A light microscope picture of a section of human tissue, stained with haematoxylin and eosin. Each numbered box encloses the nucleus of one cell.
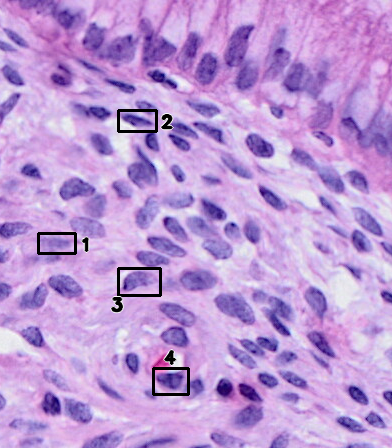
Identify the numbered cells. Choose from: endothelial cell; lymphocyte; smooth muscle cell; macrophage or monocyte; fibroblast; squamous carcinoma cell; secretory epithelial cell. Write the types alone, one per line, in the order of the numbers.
fibroblast
fibroblast
fibroblast
endothelial cell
